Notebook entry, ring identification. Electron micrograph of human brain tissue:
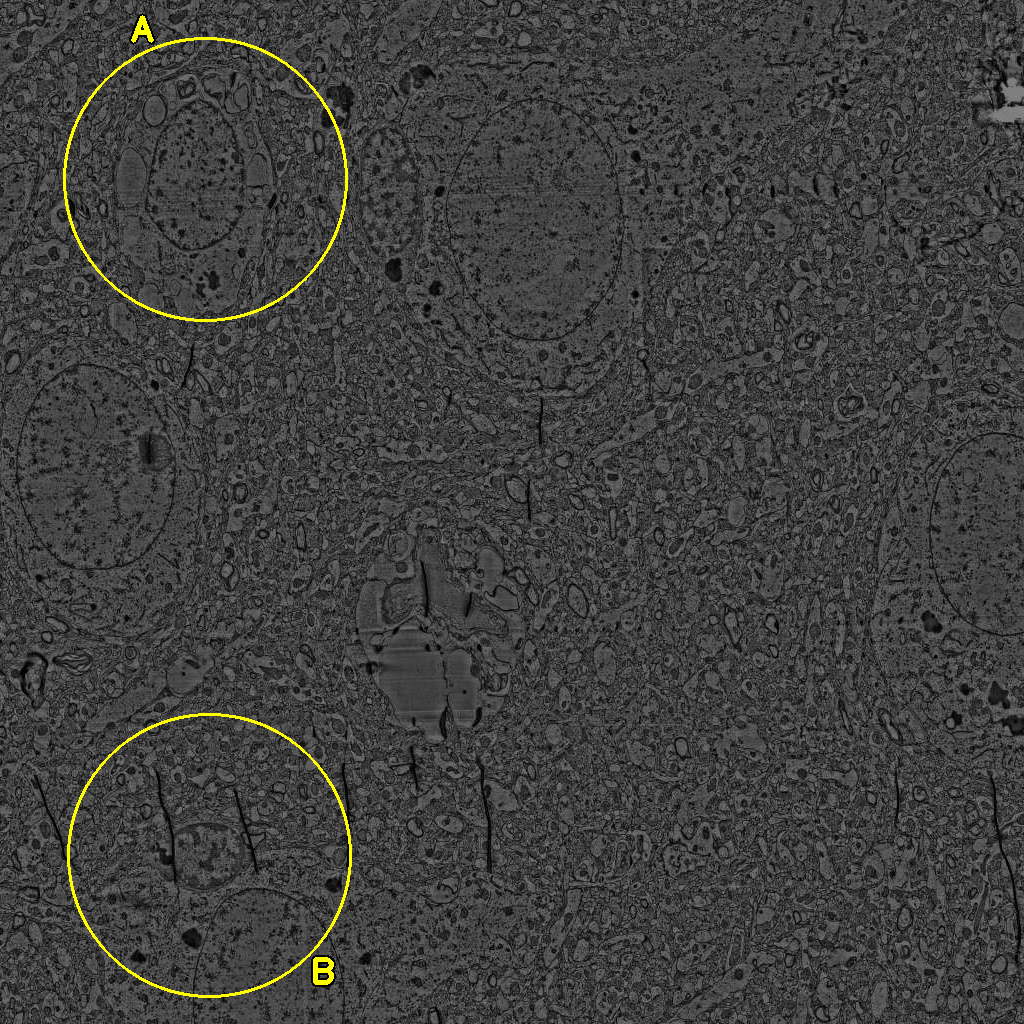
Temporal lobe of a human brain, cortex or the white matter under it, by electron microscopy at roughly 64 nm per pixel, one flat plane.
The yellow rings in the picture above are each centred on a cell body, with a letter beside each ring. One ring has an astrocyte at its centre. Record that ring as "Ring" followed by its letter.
Ring A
